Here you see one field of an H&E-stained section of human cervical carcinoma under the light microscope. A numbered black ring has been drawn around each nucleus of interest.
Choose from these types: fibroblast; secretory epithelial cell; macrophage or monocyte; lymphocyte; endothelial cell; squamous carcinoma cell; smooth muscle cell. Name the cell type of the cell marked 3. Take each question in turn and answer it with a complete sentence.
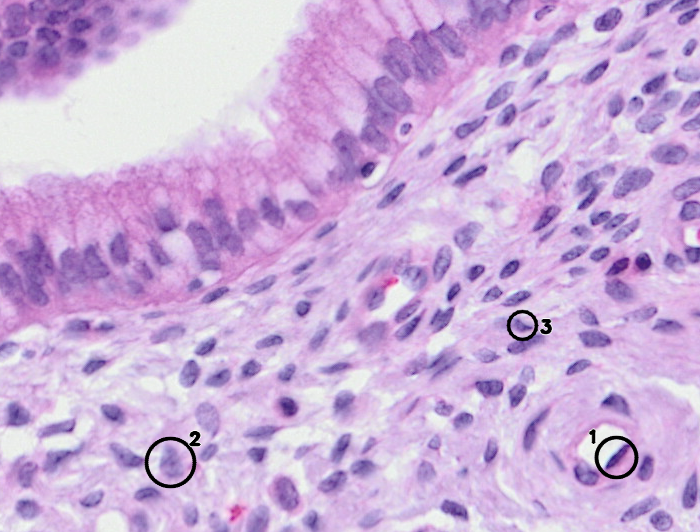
The cell that is numbered 3 is a fibroblast.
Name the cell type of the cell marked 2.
Identified by the number 2, the cell is a fibroblast.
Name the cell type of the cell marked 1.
The cell marked with the number 1 is an endothelial cell.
